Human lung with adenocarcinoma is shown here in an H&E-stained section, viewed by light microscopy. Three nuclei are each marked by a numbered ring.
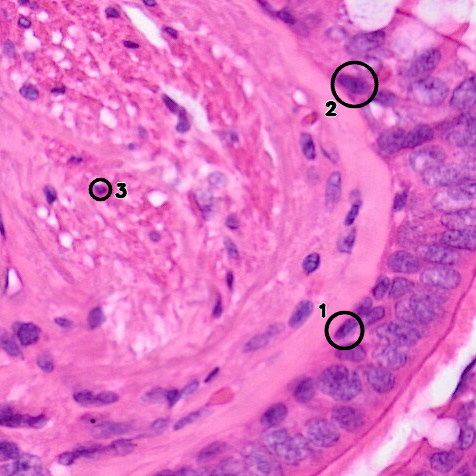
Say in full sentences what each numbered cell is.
Cell 1 is a ciliated epithelial cell, cell 2 is a ciliated epithelial cell and cell 3 is a smooth muscle cell or pericyte.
